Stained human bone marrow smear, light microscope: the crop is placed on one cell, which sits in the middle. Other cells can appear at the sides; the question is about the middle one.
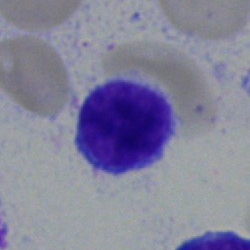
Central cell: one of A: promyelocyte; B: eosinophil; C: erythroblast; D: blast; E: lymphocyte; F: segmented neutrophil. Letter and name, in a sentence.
Of the options given, E is correct, the central cell being a lymphocyte.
